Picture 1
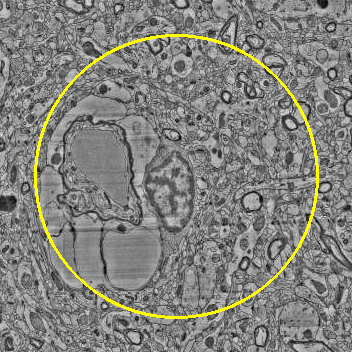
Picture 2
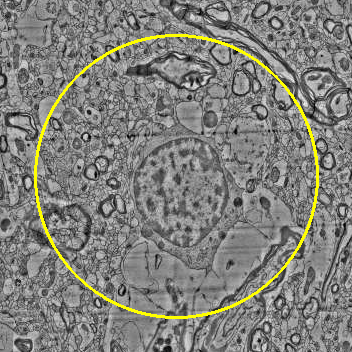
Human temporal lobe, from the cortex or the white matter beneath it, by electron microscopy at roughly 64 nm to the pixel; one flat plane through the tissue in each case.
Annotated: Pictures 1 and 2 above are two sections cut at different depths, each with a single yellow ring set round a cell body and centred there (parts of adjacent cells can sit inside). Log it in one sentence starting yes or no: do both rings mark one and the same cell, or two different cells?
No, the two yellow rings correspond to two separate cells.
